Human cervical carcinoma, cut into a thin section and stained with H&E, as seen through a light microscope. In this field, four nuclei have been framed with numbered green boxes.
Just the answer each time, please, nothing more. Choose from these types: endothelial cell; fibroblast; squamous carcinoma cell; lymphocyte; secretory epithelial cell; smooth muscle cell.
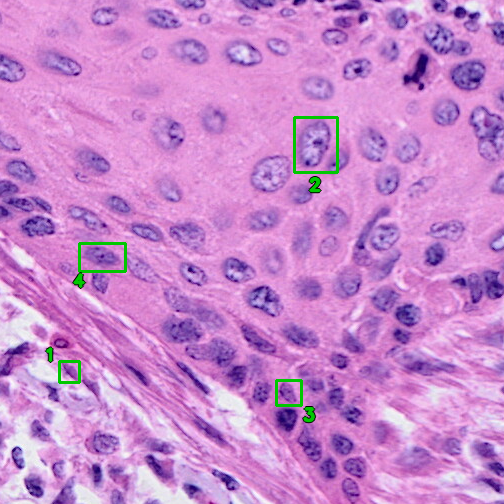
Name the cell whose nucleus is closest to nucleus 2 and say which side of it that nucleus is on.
a squamous carcinoma cell; below and to the right of nucleus 2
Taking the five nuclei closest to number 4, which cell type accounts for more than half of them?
squamous carcinoma cell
